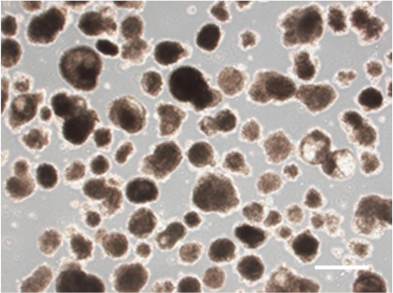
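The image shows many free-floating, roughly spherical multicellular aggregates lying scattered over a pale grey background. The aggregates vary widely in size, from small clusters to large bodies several times their diameter. Most are dense and dark brown to black in their centres, with a lighter, somewhat rough rim where cells at the surface can be made out. A few aggregates are paler and partly translucent, with a clear, fluid-filled cavity. Single cells cannot be resolved within the dense interiors at this magnification.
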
